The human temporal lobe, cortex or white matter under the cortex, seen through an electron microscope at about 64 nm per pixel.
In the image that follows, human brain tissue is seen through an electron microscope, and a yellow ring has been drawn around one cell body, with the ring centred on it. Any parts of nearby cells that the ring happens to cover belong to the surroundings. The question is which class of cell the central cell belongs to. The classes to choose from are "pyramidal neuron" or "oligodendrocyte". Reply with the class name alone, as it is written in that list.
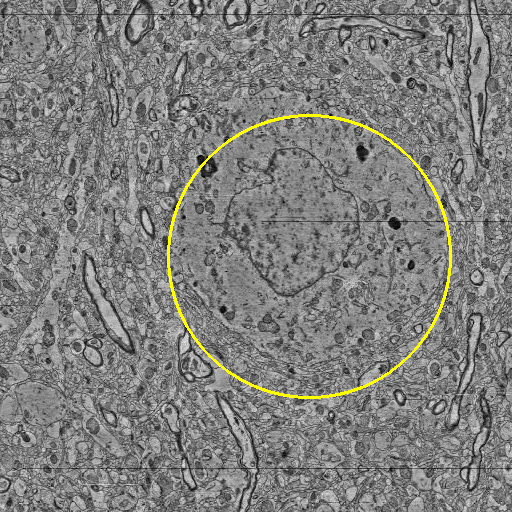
pyramidal neuron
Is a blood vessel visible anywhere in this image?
No.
